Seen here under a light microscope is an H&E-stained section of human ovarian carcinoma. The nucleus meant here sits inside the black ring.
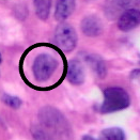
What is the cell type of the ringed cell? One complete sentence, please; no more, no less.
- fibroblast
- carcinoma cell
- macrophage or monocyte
The identity of the ringed cell: it is a macrophage or monocyte.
